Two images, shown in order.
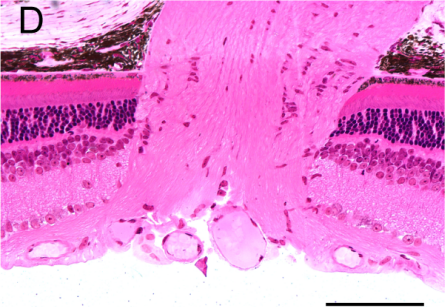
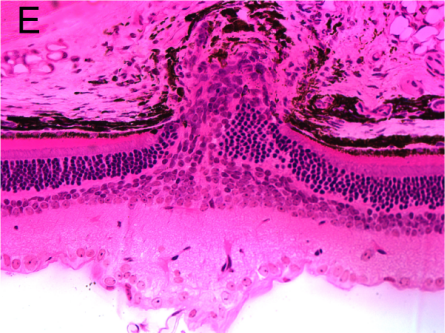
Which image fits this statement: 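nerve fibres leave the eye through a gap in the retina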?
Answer: The first image.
